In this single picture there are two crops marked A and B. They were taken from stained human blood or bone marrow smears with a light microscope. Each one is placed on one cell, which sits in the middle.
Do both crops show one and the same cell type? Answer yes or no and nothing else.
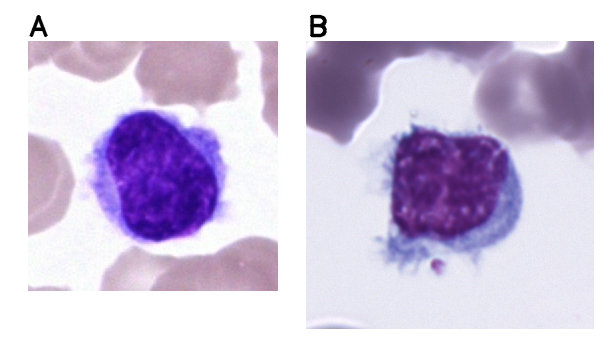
yes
